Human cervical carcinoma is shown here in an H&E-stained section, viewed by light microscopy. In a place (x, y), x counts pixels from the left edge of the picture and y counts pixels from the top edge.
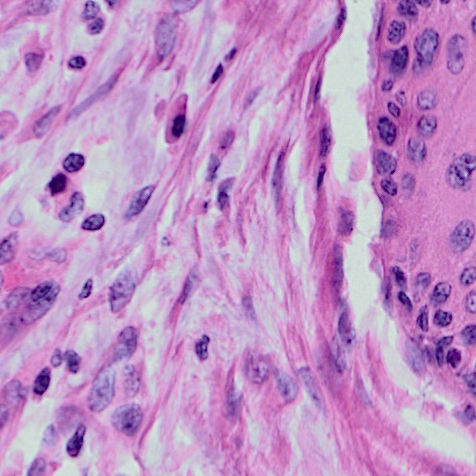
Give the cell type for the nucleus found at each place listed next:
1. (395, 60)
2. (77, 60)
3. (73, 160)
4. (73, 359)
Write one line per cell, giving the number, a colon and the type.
1: squamous carcinoma cell
2: lymphocyte
3: lymphocyte
4: lymphocyte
